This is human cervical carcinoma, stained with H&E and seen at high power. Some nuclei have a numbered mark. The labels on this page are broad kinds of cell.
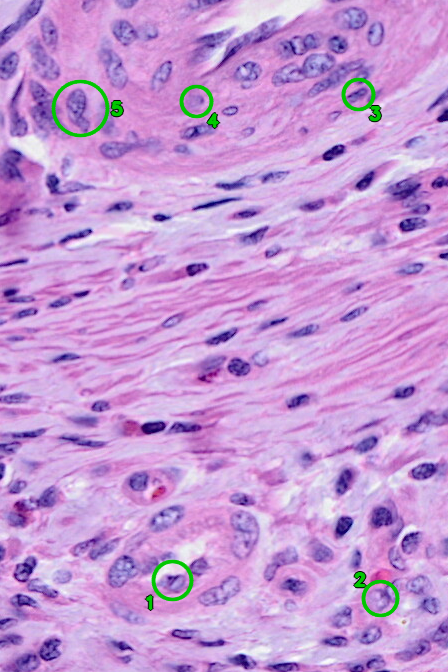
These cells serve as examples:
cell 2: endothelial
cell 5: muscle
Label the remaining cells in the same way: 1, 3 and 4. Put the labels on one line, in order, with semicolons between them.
endothelial; muscle; muscle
